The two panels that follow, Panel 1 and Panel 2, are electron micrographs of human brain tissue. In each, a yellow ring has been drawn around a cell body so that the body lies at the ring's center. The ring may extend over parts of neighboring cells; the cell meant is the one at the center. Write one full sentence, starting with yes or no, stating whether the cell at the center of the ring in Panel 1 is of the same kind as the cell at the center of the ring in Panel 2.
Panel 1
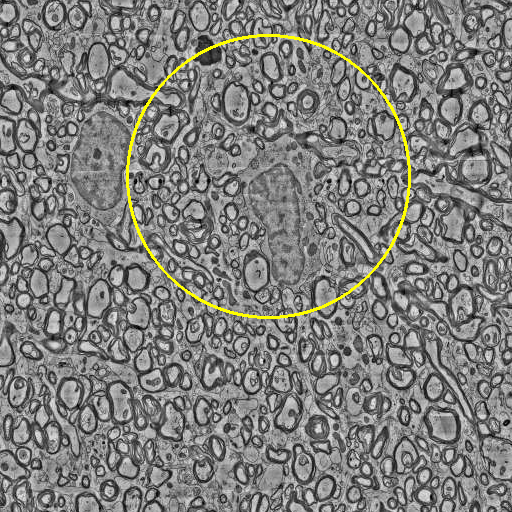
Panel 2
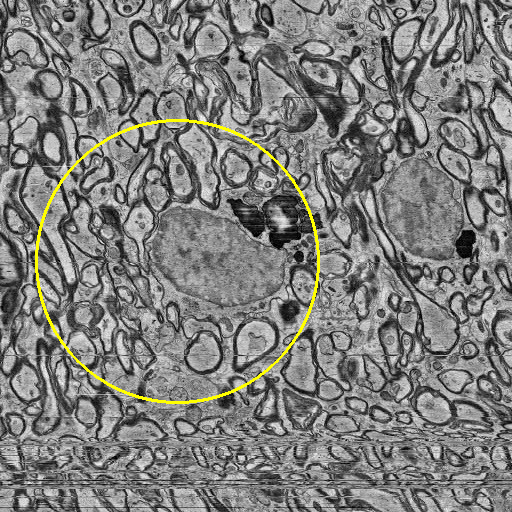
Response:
Yes, the cells in both panels are of the same kind.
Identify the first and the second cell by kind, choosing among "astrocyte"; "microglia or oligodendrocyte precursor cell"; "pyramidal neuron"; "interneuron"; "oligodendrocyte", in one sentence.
In both pictures the ring is centred on an oligodendrocyte.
